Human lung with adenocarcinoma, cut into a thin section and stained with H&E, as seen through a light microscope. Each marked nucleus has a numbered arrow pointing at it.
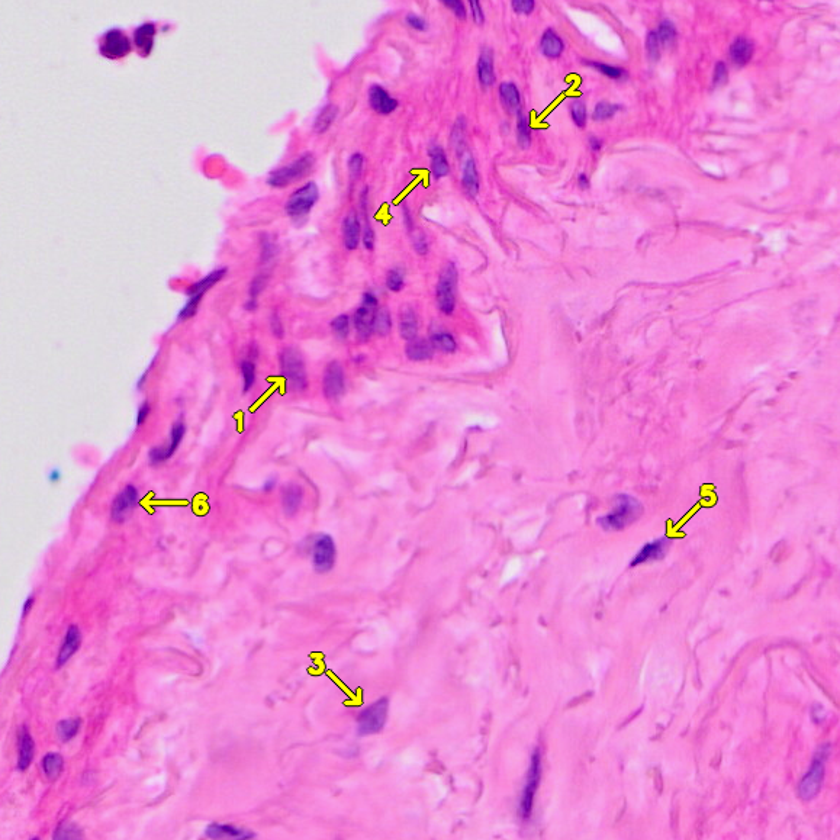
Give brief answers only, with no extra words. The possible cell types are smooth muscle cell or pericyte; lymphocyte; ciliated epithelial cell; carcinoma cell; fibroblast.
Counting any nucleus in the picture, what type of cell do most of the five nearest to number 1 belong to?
smooth muscle cell or pericyte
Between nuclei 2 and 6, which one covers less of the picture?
2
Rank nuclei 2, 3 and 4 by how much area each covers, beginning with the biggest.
3, 4, 2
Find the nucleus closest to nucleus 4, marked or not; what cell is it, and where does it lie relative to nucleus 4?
a smooth muscle cell or pericyte, to the right of nucleus 4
